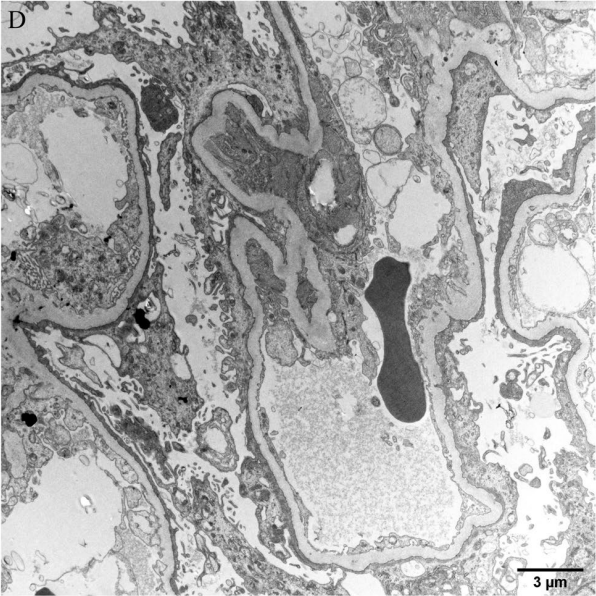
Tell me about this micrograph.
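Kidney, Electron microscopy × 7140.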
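This electron micrograph shows glomerular capillary loops with their grey basement membranes, a capillary lumen containing a dark red blood cell, and podocytes on the outer side. The podocyte cytoplasm lies flat and continuous along the basement membrane instead of forming separate regularly spaced foot processes. Many small finger-like projections rise from the podocyte surfaces into the urinary space. Endothelial cells line the inner side of the loops.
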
